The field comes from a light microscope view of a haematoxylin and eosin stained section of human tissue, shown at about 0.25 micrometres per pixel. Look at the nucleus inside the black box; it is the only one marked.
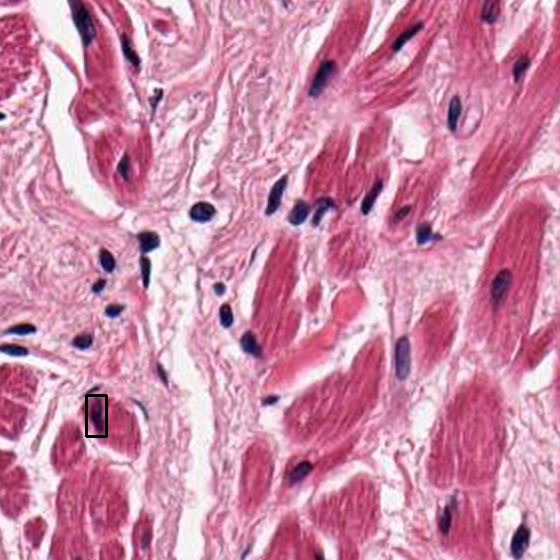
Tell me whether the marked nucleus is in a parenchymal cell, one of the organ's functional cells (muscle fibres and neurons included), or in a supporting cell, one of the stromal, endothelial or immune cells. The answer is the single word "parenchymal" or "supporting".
parenchymal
